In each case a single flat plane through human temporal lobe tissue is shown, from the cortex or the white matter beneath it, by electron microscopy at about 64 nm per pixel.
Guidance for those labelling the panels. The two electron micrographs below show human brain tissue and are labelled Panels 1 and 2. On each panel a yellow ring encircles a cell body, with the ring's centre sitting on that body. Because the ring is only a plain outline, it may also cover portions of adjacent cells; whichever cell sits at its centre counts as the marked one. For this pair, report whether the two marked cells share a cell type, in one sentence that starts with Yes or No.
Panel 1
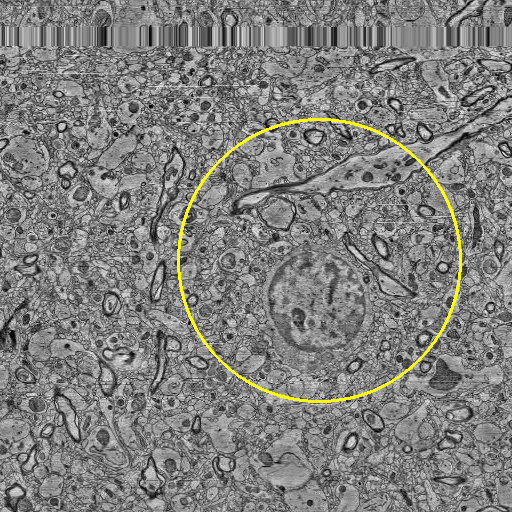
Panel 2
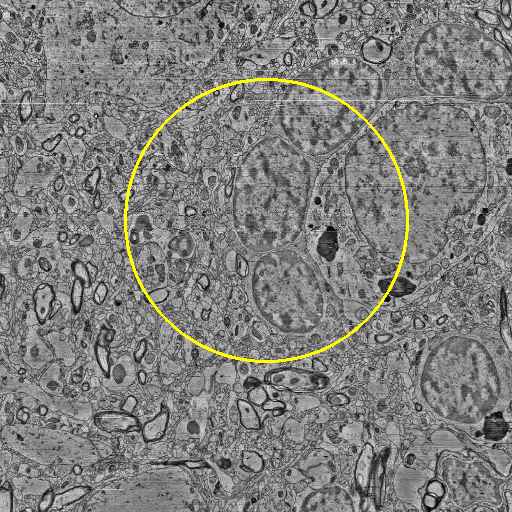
Yes, in Panel 1 and Panel 2 the marked cells at the ring centres share one type.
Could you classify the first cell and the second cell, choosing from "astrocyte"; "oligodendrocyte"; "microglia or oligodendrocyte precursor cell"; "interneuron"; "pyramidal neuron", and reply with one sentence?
Each of the two rings surrounds an oligodendrocyte.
